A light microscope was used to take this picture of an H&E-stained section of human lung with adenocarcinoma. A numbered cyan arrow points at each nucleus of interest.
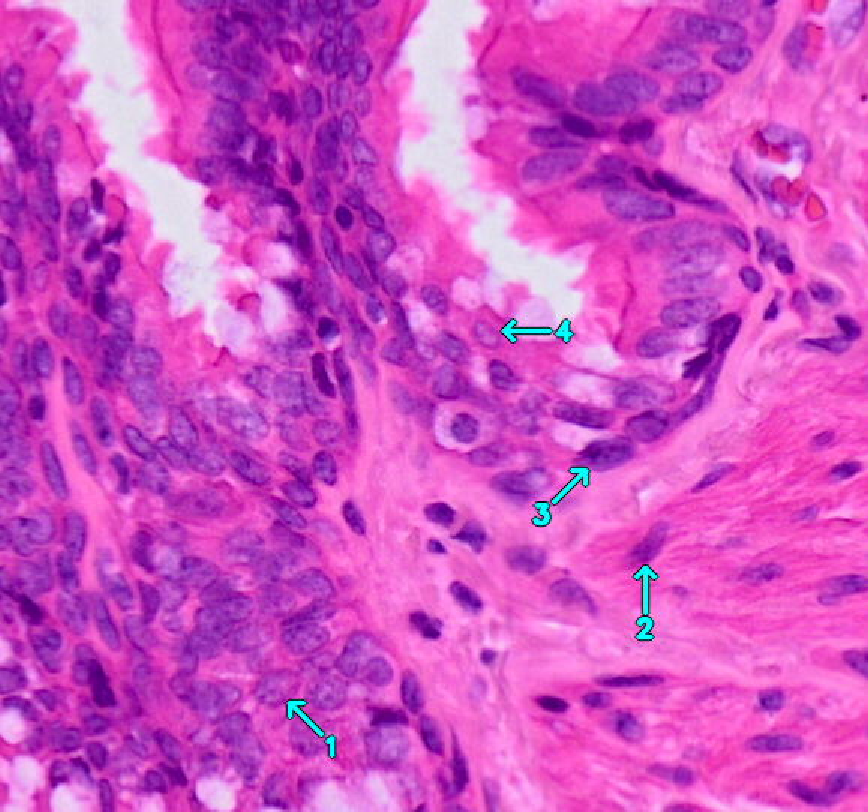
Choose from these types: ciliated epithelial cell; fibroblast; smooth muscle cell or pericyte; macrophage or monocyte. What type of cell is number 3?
ciliated epithelial cell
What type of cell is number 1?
ciliated epithelial cell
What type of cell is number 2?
smooth muscle cell or pericyte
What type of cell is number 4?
ciliated epithelial cell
